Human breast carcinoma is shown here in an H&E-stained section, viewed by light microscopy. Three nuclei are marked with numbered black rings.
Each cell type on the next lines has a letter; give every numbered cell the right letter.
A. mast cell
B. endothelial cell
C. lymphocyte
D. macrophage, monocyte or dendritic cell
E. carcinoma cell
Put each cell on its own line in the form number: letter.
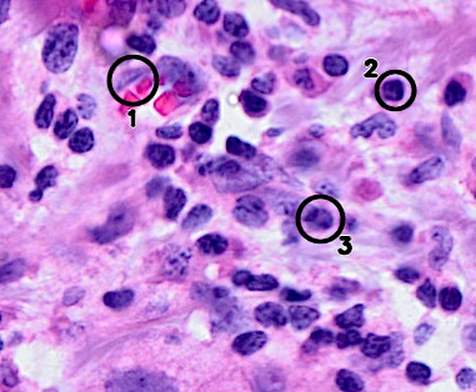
1: B
2: C
3: C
